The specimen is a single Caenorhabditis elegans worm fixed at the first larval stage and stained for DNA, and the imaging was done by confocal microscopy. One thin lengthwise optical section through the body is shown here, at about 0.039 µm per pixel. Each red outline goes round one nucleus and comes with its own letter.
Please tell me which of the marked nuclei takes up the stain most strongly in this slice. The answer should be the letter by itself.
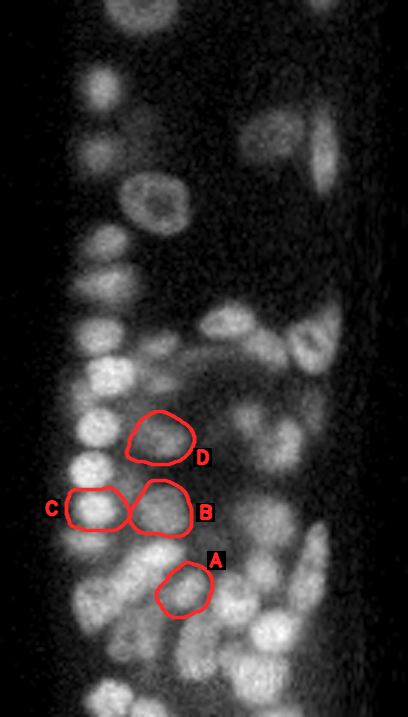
C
